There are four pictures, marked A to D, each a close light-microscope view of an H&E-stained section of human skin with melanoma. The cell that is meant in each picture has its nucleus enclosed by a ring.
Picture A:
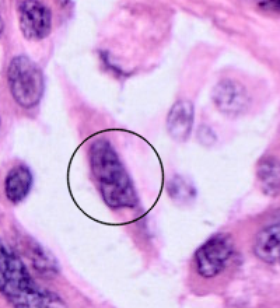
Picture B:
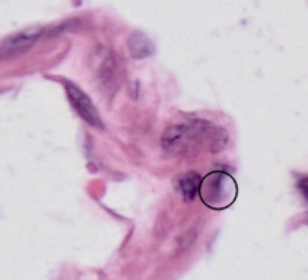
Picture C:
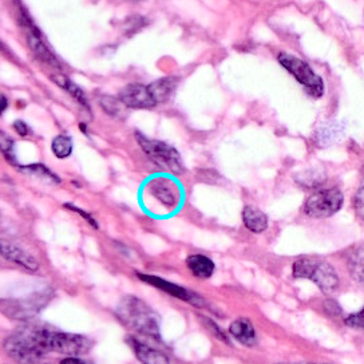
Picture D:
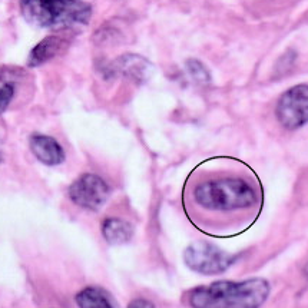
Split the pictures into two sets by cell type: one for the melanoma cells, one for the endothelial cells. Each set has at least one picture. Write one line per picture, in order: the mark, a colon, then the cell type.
A: melanoma cell
B: endothelial cell
C: melanoma cell
D: melanoma cell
